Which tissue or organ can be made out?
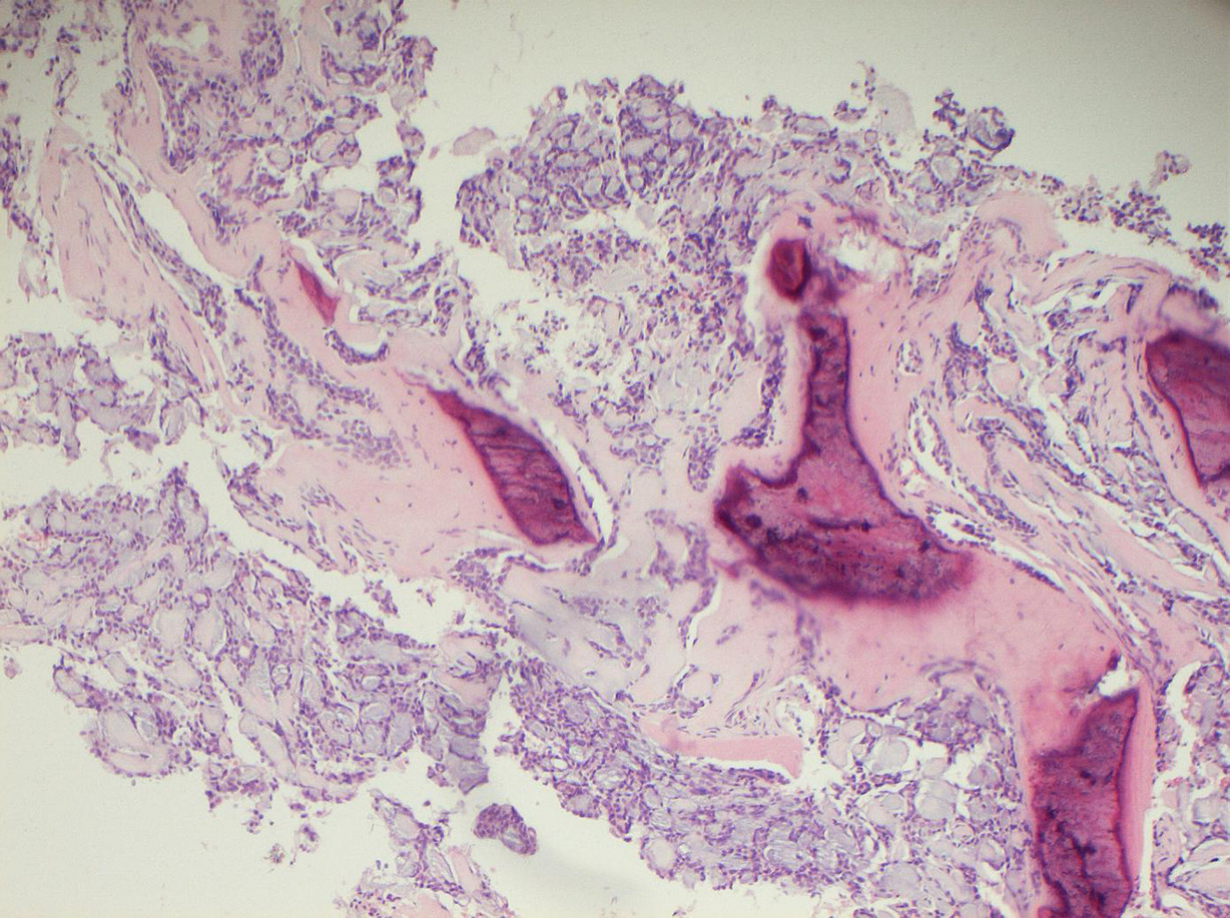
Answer: Bone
